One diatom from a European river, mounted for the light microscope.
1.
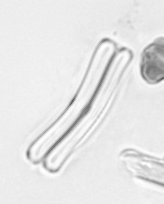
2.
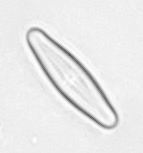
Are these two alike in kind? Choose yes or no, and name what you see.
Yes. Achnanthidium.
